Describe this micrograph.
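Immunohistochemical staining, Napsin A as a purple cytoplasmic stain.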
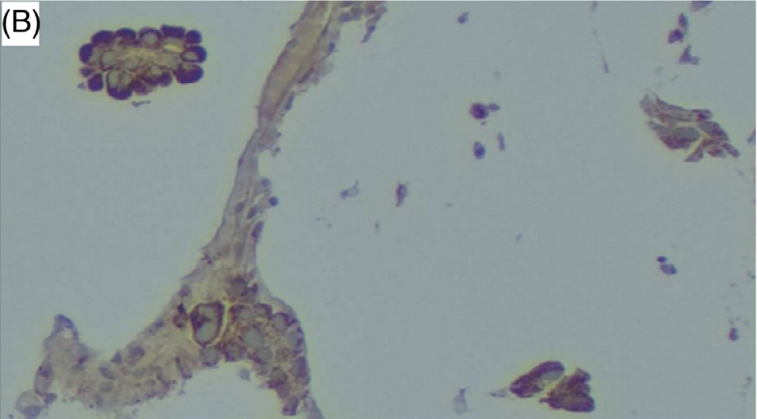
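This shows tumour cells in a preparation with a strip of pale tissue running through the middle. At upper left a compact cluster of cells is ringed by dark purple colour, and other small purple-stained groups lie scattered in the background.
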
